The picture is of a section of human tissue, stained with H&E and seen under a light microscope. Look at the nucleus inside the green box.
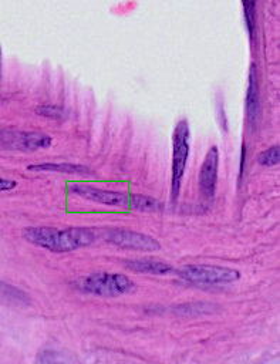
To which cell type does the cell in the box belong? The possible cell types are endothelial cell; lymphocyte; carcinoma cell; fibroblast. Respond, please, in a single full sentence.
By its classification, the cell in the box is an endothelial cell.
